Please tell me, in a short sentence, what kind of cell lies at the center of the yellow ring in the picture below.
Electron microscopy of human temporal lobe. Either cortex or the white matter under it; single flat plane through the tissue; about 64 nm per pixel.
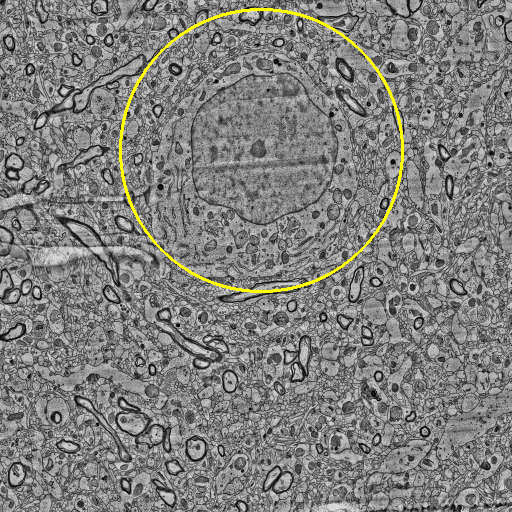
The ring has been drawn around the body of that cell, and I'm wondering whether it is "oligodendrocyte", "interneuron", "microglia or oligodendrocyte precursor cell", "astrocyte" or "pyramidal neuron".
The cell at the center of the ring is an interneuron.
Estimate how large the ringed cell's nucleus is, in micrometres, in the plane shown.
About 10 micrometres across, as seen in this plane.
